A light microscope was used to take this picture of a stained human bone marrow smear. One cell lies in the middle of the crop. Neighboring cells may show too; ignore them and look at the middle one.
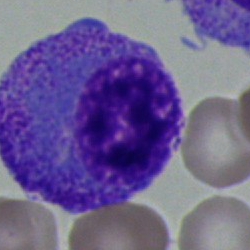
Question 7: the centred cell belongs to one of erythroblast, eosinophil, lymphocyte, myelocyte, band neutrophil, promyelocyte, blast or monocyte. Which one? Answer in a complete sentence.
What sits at the centre of this crop is a promyelocyte.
